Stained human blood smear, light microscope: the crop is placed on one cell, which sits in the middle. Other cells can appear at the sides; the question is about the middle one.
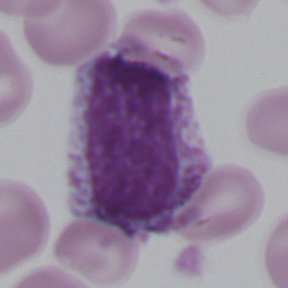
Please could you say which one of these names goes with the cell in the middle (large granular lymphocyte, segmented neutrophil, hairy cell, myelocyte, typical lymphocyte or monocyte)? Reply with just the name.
myelocyte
